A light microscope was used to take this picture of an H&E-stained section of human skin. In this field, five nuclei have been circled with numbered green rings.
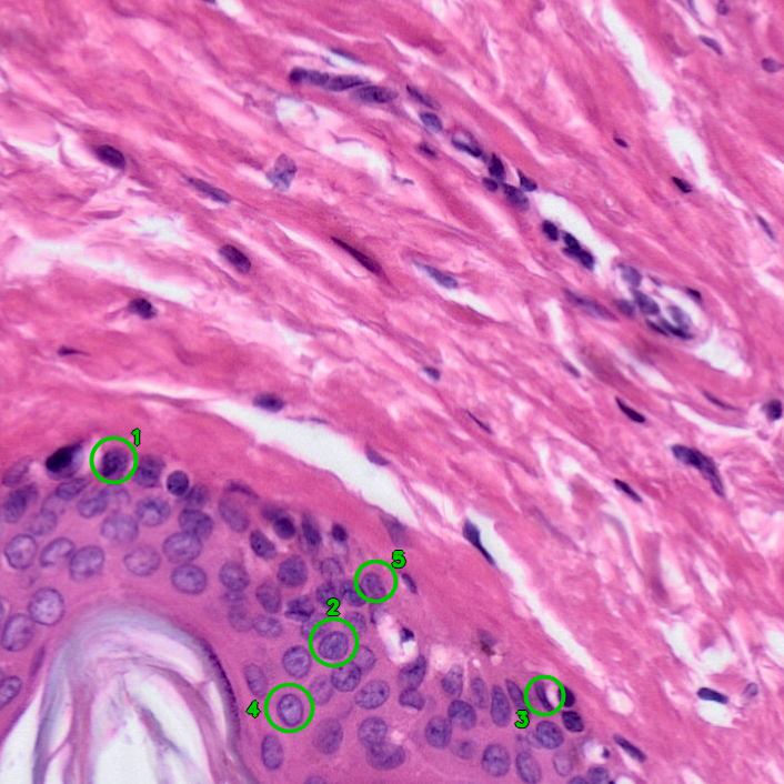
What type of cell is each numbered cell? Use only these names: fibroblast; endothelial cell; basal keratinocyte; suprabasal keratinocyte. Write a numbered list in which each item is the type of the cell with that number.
1. basal keratinocyte
2. suprabasal keratinocyte
3. basal keratinocyte
4. suprabasal keratinocyte
5. basal keratinocyte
